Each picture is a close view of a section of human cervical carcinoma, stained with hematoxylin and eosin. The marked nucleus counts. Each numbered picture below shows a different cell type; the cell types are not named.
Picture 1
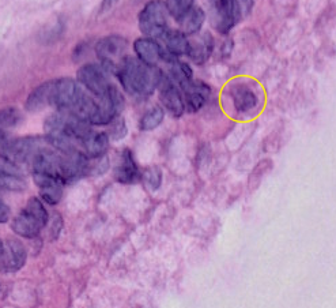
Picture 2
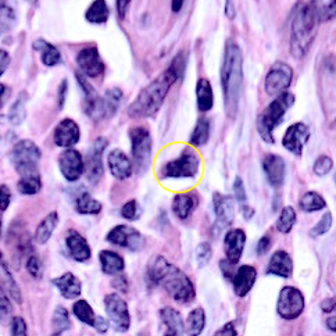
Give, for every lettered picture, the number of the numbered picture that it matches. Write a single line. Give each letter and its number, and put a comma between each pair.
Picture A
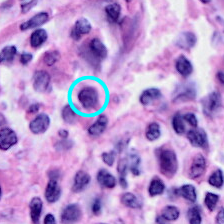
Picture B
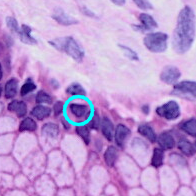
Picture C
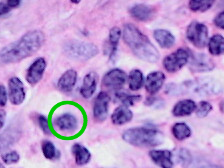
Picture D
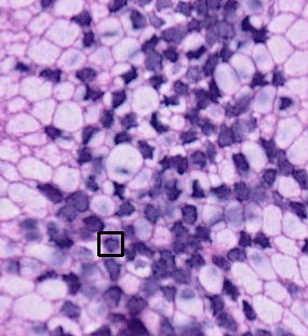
A 2, B 1, C 2, D 1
